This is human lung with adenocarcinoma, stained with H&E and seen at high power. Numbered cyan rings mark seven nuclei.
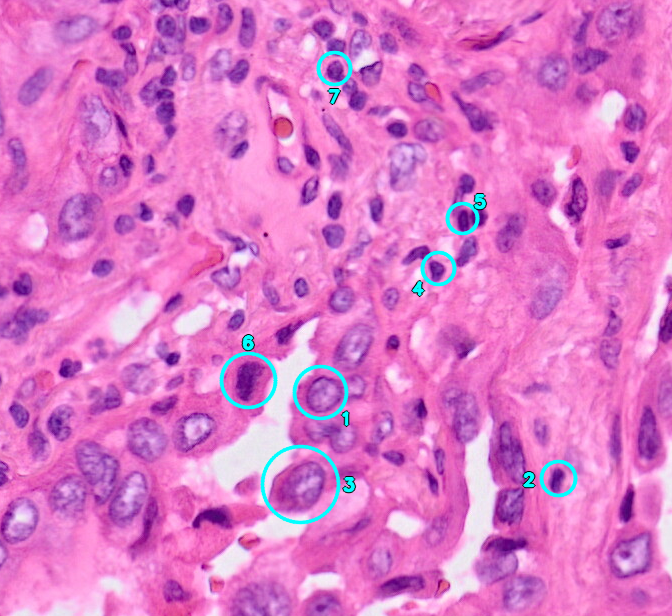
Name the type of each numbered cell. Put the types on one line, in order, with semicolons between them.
carcinoma cell; lymphocyte; carcinoma cell; lymphocyte; lymphocyte; carcinoma cell; lymphocyte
